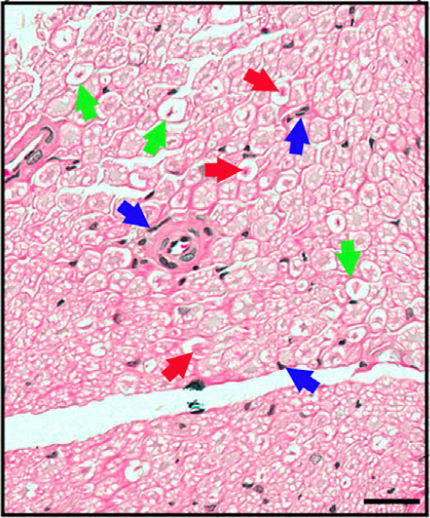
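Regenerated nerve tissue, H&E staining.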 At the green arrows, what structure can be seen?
myelin sheath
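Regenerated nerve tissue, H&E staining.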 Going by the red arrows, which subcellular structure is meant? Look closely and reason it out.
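The red arrows point to pink central cores within round fibre profiles. The answer: axon.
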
